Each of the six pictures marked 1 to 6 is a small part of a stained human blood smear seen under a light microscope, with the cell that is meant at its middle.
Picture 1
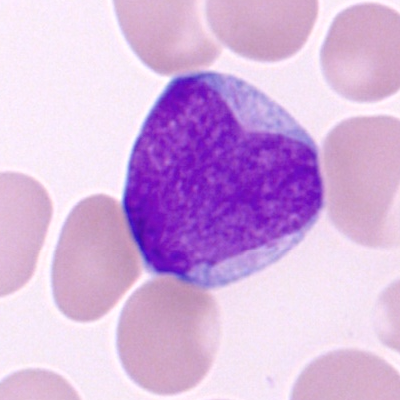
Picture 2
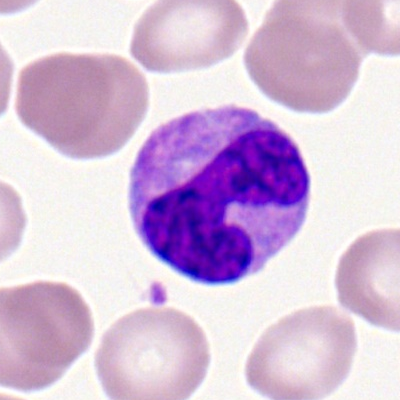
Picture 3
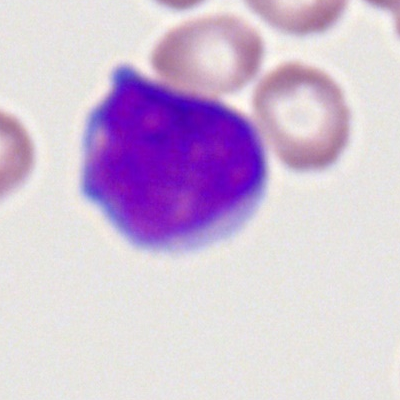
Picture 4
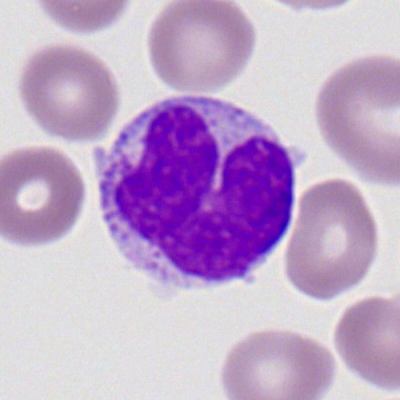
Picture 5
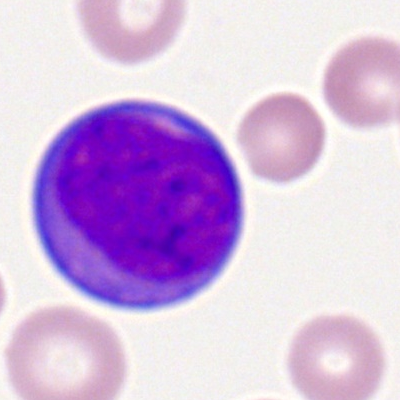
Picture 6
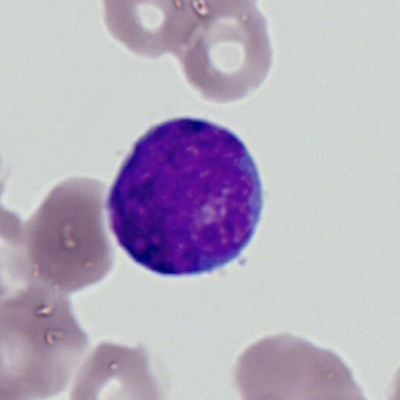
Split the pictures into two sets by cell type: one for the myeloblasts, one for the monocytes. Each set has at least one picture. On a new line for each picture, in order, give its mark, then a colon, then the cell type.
1: myeloblast
2: monocyte
3: myeloblast
4: monocyte
5: myeloblast
6: myeloblast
